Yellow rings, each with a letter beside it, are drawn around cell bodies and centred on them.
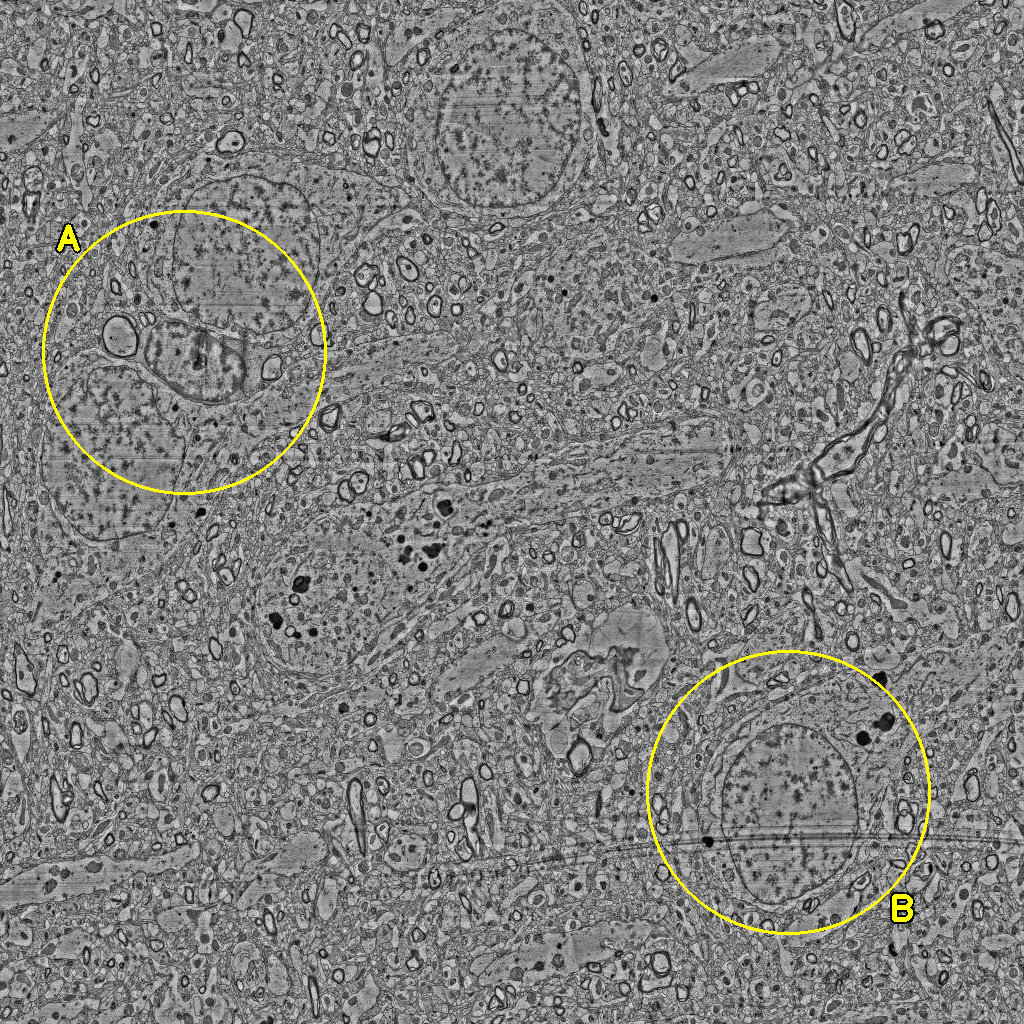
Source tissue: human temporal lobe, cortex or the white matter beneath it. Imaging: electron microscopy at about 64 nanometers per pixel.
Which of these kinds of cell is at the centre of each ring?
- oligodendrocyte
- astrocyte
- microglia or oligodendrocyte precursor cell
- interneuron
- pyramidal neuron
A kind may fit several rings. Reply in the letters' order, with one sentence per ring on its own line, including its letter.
The cell in the middle of ring A is an oligodendrocyte.
The cell in the middle of ring B is a pyramidal neuron.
